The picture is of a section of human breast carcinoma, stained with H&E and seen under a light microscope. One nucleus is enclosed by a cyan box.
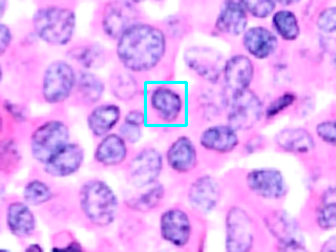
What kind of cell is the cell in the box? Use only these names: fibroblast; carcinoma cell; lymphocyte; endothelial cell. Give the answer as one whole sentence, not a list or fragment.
Assigned to a cell type, the cell in the box is a carcinoma cell.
